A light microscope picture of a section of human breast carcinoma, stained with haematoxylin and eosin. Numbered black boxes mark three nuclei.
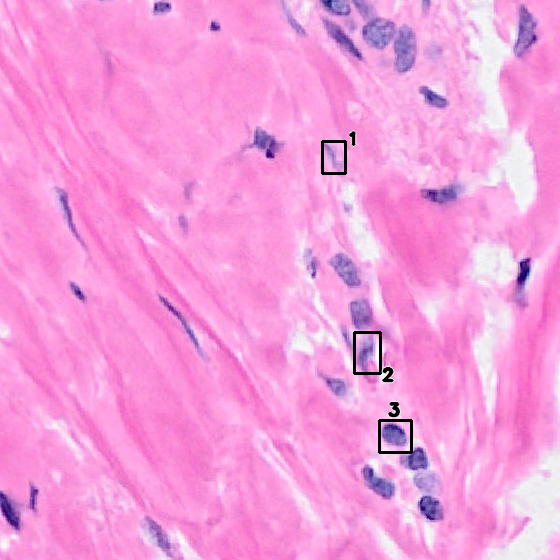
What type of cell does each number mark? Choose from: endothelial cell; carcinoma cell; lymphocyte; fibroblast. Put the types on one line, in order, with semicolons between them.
fibroblast; endothelial cell; lymphocyte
